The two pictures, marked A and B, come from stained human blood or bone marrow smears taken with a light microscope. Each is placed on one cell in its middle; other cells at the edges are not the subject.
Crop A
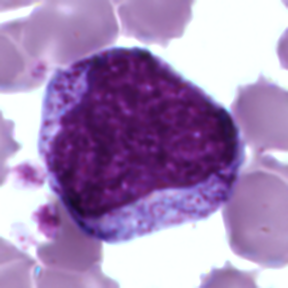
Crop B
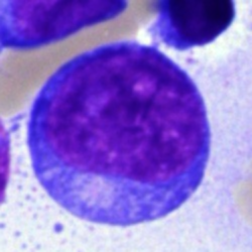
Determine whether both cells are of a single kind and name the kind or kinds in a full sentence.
No: a promyelocyte sits in crop A, and a blast sits in crop B.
